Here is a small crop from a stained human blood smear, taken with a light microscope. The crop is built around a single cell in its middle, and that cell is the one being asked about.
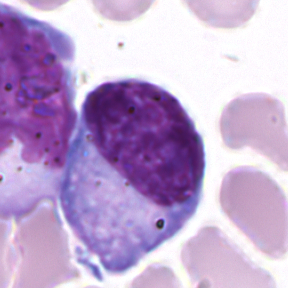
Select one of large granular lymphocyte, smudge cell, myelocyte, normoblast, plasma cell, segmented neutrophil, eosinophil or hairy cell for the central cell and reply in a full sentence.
At the center of the crop sits a plasma cell.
